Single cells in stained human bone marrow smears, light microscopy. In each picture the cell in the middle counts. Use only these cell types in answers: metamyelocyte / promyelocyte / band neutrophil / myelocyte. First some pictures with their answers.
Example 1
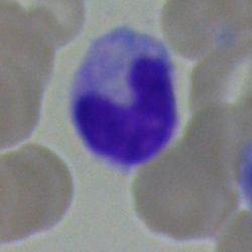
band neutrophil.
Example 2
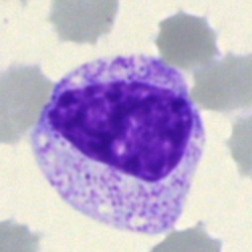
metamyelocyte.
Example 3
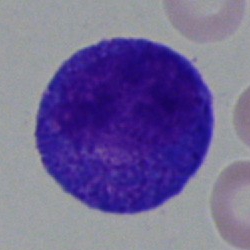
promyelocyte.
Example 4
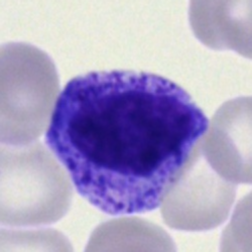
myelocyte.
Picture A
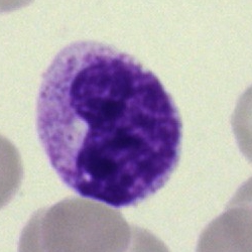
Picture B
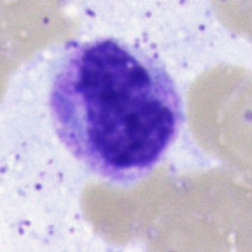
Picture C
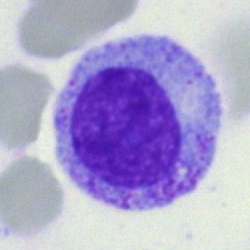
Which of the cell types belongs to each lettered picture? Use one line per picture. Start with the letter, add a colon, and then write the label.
A: metamyelocyte.
B: metamyelocyte.
C: myelocyte.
